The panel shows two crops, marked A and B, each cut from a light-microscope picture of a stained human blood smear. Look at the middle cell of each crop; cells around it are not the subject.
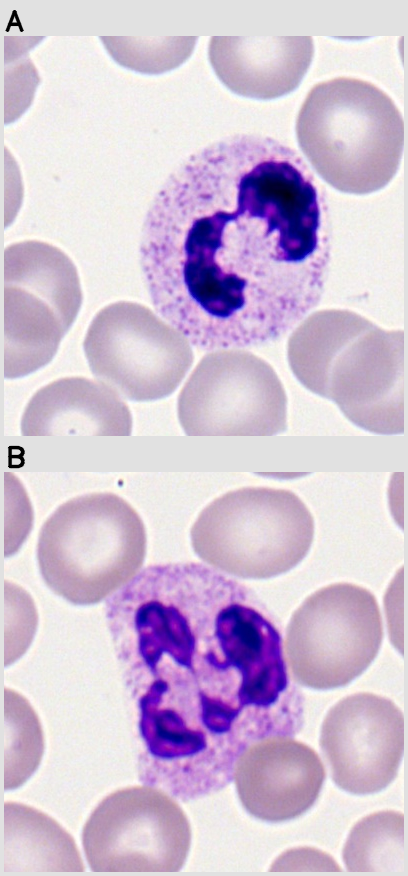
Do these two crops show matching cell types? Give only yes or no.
yes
